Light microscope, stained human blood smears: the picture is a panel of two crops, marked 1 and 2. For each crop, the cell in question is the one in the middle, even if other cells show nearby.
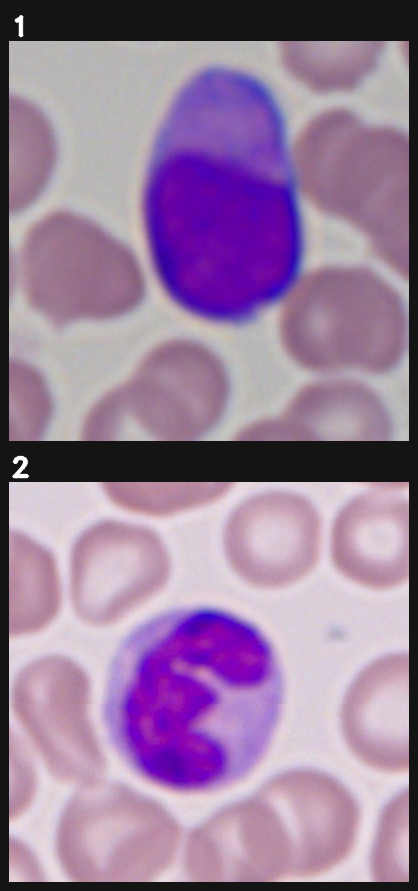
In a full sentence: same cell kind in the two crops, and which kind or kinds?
No, it is crop 1 that shows a myeloblast, and crop 2 shows a monocyte.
